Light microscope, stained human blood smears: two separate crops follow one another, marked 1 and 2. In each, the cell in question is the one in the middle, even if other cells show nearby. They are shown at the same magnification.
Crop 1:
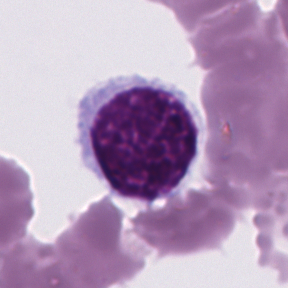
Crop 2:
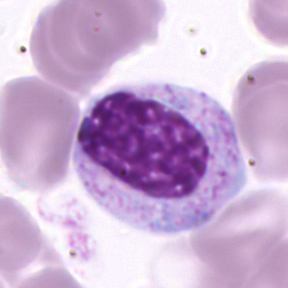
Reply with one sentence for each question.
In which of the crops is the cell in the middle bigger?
Crop 2 holds the larger cell; it covers about 1.5 times the area of the cell in crop 1.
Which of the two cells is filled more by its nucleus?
The nucleus fills more of the cell in crop 1 than in crop 2.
